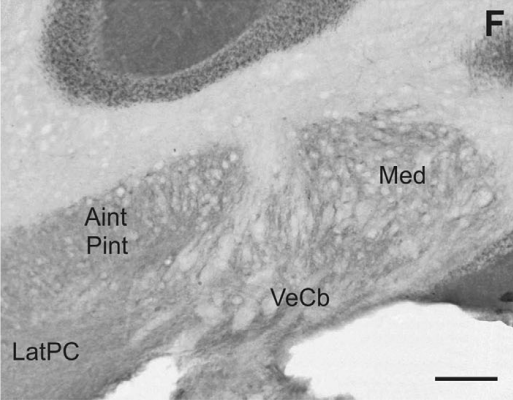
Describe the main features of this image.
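These are the deep cerebellar nuclei beneath the cerebellar cortex. Large neuronal cell bodies appear as round profiles scattered through grey-stained neuropil. They gather in separate nuclear masses, divided by pale bundles of fibres that run obliquely between them. Above the nuclei lies a broad band of pale, unstained white matter, and above that a fold of cortex with a dark granular layer. The nuclei stain moderately, less intensely than the granular layer of the cortex.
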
